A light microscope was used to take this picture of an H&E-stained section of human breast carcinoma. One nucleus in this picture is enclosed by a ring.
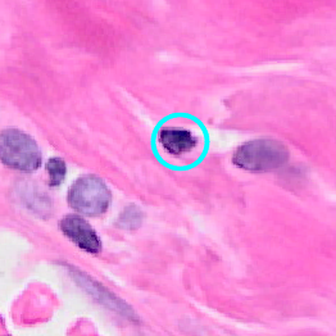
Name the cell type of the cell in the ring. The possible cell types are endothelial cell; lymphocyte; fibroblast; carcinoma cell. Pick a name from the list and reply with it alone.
lymphocyte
